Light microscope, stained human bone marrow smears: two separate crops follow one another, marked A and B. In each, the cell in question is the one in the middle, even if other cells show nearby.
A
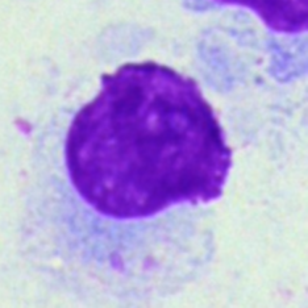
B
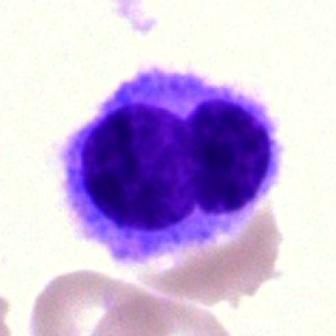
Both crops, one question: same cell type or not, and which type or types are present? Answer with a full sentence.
Yes, they do, both crops show hairy cells.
